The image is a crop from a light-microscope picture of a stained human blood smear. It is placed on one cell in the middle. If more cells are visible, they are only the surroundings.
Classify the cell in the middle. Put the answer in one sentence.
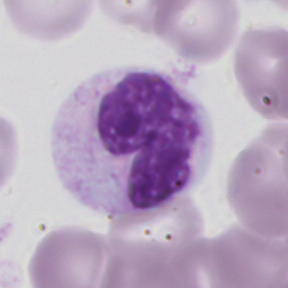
The central cell, amid any neighbouring cells, is a band neutrophil.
